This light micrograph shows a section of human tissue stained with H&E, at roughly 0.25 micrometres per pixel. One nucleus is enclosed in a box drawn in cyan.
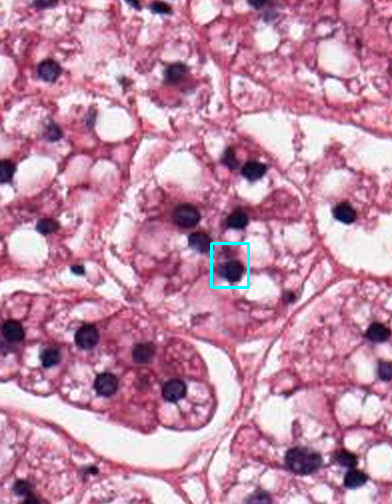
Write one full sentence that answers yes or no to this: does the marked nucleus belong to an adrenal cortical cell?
Yes, the marked nucleus represents the nucleus of an adrenal cortical cell.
